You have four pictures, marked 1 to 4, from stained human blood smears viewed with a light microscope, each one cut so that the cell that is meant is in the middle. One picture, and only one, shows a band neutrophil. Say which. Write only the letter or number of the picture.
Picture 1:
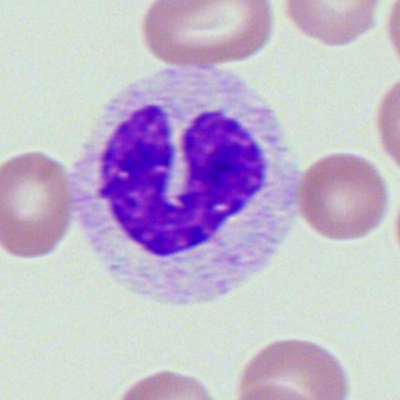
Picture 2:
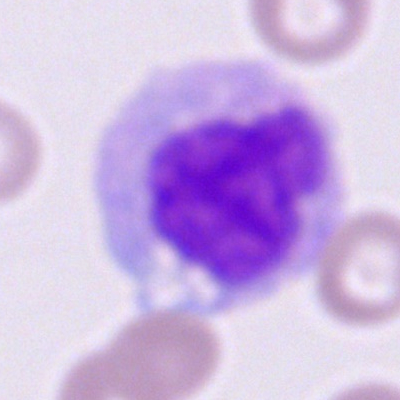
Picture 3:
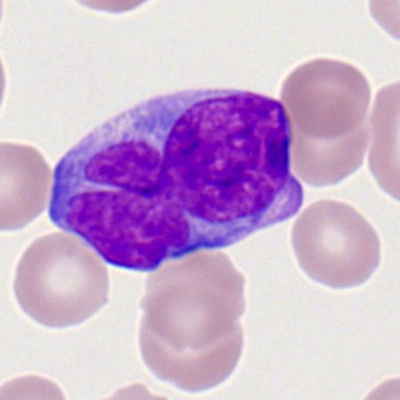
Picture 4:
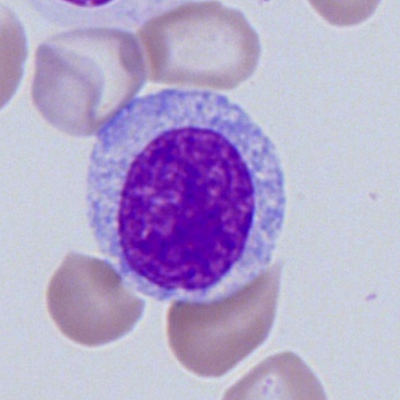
1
